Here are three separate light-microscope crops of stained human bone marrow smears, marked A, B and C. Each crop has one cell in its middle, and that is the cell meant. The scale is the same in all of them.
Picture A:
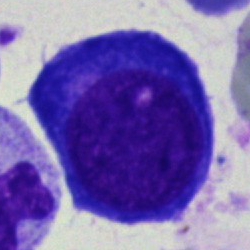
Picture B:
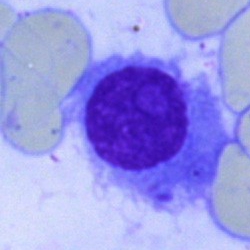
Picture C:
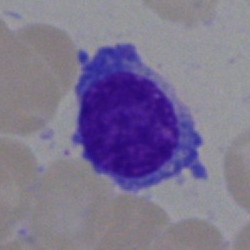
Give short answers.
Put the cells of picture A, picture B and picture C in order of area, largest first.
A, B, C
